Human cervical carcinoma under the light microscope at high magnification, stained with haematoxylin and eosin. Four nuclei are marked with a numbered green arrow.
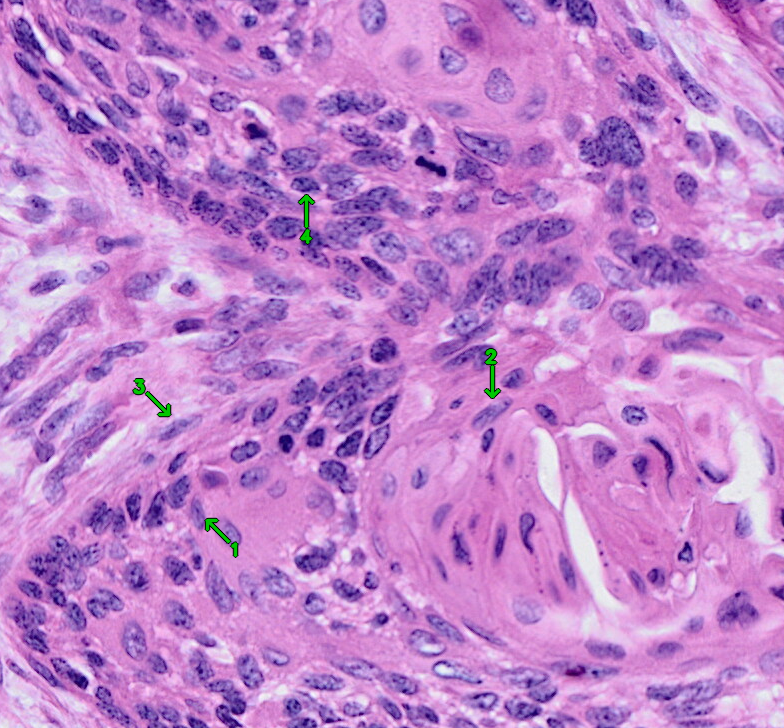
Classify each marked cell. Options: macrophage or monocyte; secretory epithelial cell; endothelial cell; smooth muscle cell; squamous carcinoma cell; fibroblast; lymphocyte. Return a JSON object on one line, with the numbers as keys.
{"1": "squamous carcinoma cell", "2": "squamous carcinoma cell", "3": "fibroblast", "4": "squamous carcinoma cell"}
